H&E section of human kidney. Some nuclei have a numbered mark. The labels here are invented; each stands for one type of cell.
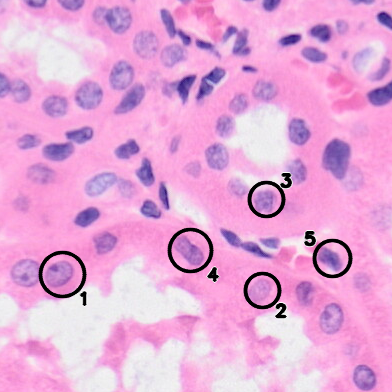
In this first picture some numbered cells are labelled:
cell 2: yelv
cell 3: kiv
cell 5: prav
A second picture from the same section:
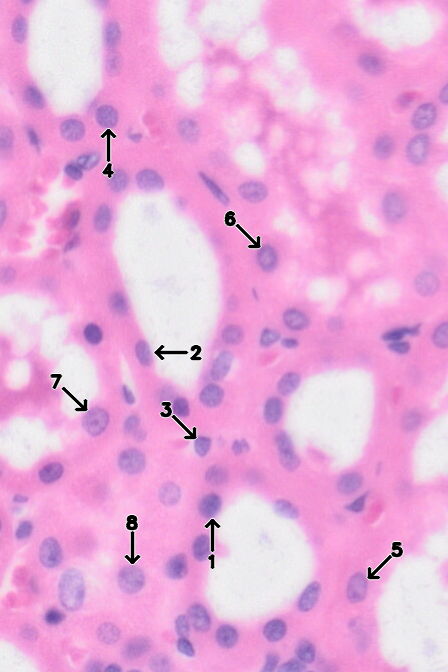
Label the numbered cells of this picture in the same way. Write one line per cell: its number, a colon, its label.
1: kiv
2: kiv
3: prav
4: kiv
5: yelv
6: yelv
7: yelv
8: yelv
